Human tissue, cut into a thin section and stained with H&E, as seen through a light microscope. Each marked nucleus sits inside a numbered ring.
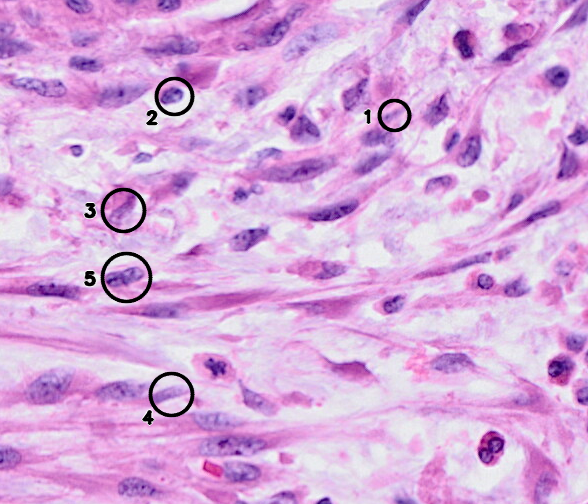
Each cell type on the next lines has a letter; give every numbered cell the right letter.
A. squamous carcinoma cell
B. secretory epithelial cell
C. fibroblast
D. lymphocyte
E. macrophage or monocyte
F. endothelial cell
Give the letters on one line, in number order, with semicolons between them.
C; D; C; C; E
